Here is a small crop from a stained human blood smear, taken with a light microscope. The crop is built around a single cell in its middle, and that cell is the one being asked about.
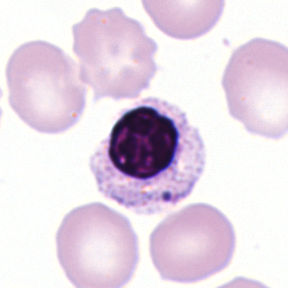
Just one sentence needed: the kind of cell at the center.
The central element of this crop is a cell, namely an erythroblast.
